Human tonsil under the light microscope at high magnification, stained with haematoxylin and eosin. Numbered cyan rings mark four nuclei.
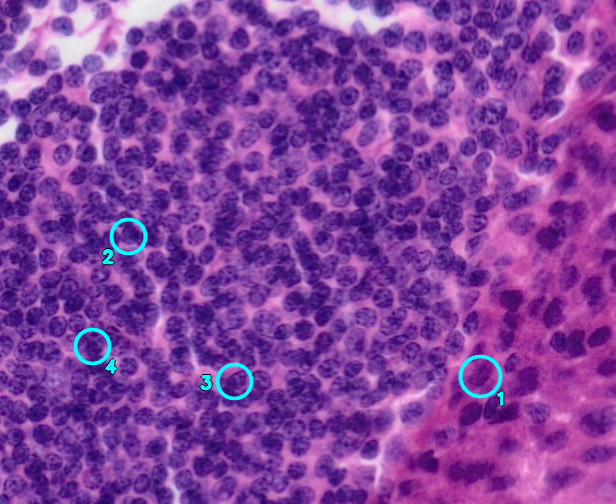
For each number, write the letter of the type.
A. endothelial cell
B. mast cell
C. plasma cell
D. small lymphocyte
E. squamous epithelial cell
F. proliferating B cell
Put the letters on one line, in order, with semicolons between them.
E; D; D; D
